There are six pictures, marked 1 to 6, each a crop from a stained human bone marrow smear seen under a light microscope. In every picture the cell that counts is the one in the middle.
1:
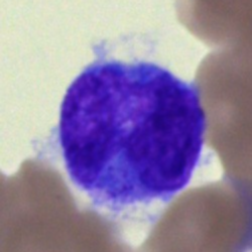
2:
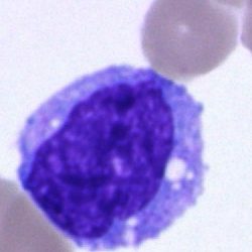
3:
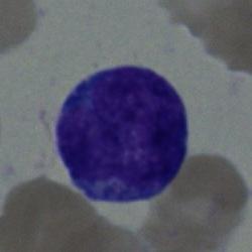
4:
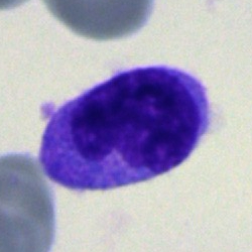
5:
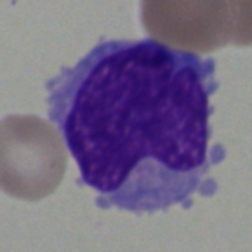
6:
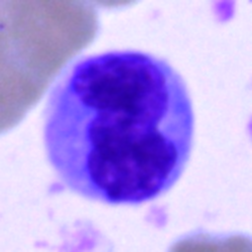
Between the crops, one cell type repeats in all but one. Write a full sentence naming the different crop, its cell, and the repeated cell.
The outlier here is crop 3, which is a blast, while the remainder show monocytes.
